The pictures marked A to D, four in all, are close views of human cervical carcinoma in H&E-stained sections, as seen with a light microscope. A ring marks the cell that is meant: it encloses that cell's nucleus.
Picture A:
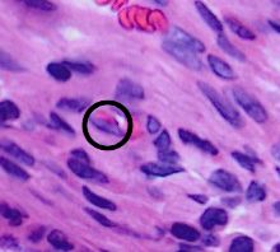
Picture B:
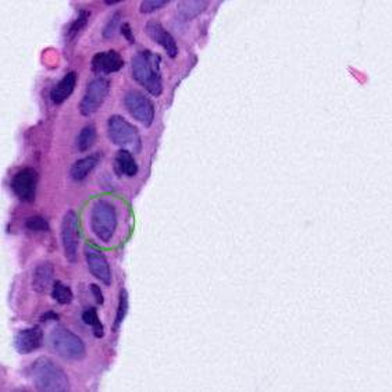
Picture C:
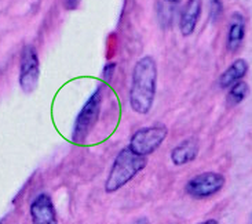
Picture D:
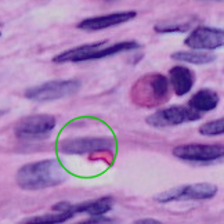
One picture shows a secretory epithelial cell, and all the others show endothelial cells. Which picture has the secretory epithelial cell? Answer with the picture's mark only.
B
